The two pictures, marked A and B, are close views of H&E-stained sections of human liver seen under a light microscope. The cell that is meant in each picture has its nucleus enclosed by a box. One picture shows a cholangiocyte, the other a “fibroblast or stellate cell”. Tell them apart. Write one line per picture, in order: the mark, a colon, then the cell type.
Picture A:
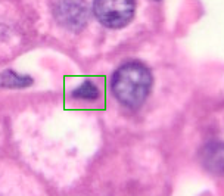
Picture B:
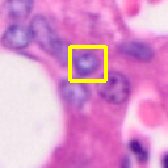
A: fibroblast or stellate cell
B: cholangiocyte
